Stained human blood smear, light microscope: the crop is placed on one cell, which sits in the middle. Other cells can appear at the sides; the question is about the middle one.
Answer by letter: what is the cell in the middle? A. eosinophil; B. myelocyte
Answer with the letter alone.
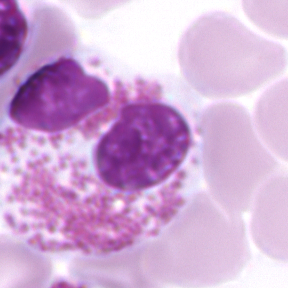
A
